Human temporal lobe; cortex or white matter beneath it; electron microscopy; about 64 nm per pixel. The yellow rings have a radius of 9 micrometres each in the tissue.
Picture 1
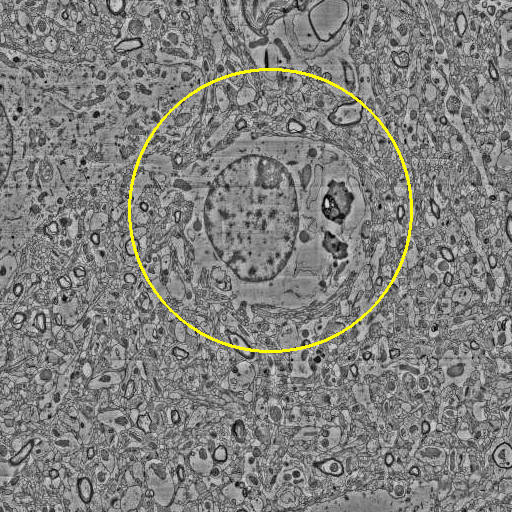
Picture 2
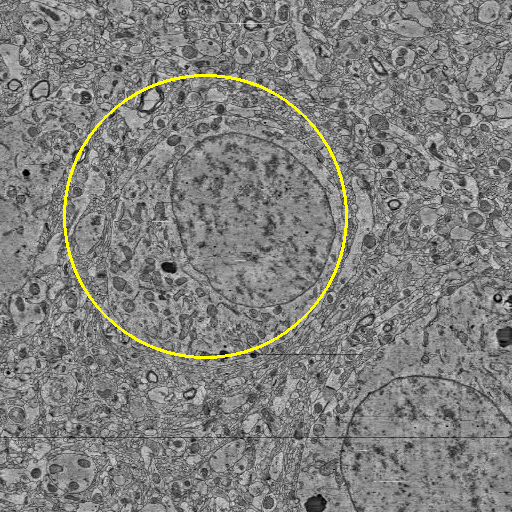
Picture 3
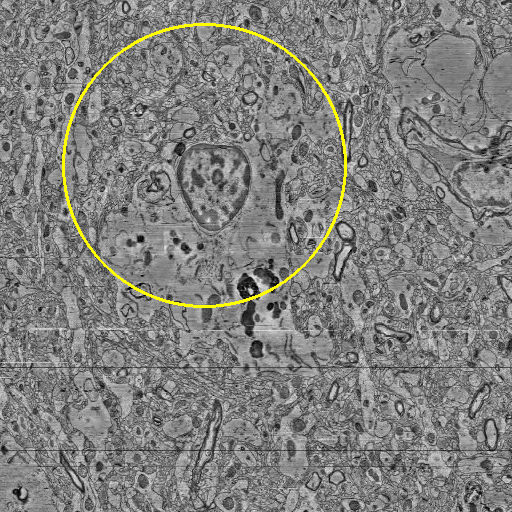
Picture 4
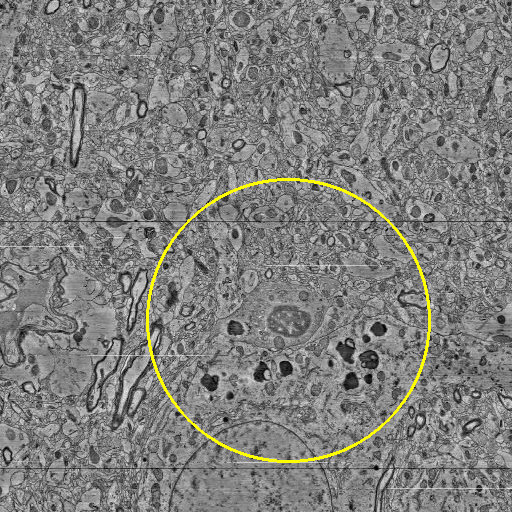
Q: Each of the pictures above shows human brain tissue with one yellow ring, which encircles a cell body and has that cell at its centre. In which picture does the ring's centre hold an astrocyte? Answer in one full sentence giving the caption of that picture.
Picture 1 is the one whose ring is centred on the cell in question.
